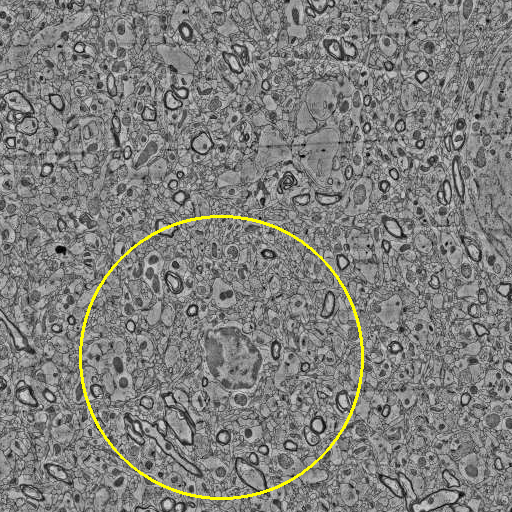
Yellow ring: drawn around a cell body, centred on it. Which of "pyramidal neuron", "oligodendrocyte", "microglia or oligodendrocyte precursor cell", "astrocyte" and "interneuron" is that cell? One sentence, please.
That cell body is from a microglial cell or oligodendrocyte precursor cell.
